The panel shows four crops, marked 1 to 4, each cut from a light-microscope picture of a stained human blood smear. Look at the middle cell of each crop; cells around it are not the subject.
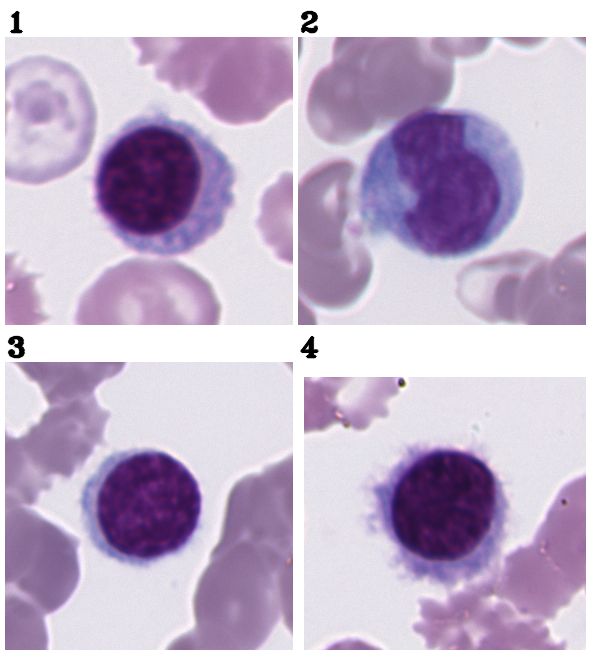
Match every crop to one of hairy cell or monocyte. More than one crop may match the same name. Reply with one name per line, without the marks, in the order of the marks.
hairy cell
monocyte
hairy cell
hairy cell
